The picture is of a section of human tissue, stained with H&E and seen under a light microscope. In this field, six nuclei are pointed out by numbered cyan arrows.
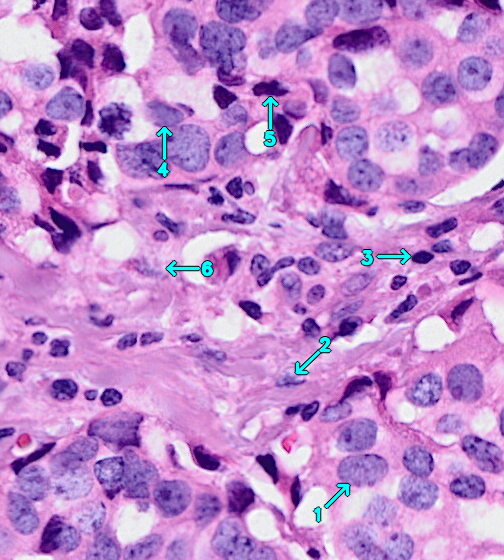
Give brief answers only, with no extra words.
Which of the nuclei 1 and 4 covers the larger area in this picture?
1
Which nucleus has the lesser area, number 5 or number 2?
2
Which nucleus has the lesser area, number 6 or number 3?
3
